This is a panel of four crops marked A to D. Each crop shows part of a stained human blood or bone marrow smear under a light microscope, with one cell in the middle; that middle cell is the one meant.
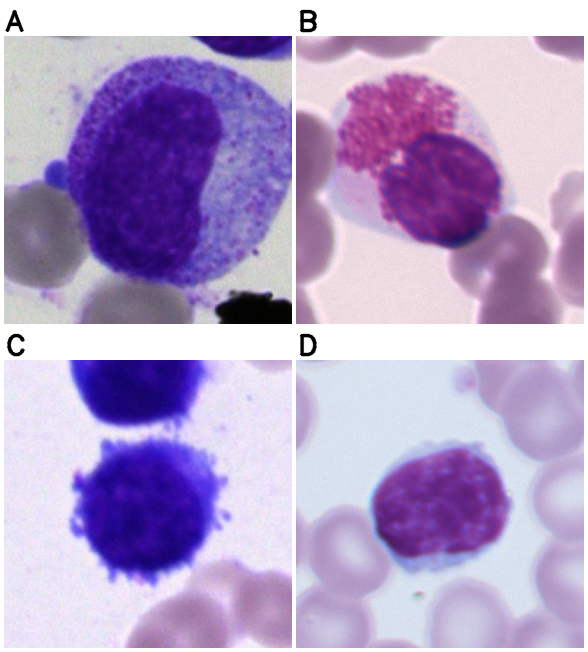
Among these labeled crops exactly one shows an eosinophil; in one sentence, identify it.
Crop B is the correct crop, and it shows an eosinophil.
